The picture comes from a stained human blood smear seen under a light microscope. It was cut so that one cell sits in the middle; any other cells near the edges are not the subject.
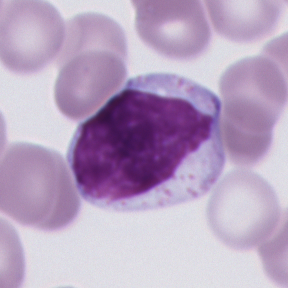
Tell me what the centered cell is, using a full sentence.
The central element of this crop is a cell, namely a large granular lymphocyte.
